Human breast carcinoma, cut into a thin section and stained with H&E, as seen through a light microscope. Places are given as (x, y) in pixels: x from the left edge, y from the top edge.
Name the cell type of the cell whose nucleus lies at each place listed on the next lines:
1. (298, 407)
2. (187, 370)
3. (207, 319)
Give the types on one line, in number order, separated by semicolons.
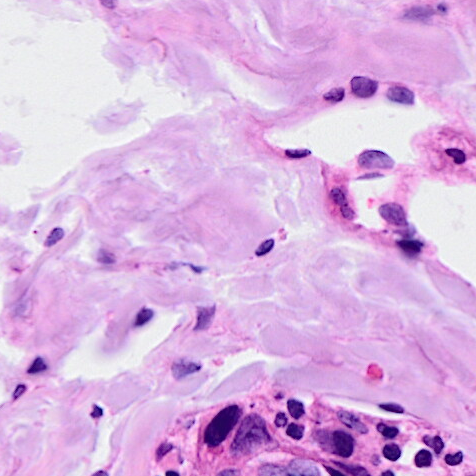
lymphocyte; fibroblast; fibroblast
